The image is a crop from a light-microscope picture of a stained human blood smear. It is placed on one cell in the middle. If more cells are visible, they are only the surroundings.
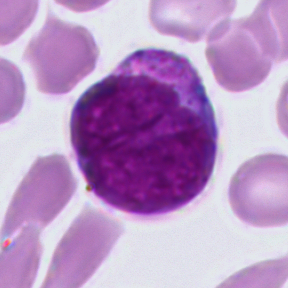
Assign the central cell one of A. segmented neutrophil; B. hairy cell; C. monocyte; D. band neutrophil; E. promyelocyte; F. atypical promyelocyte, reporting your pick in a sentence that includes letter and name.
The cell shown centrally is an atypical promyelocyte; option F is the correct option.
